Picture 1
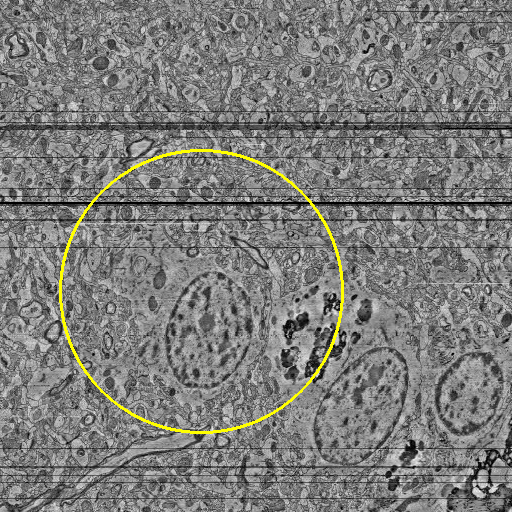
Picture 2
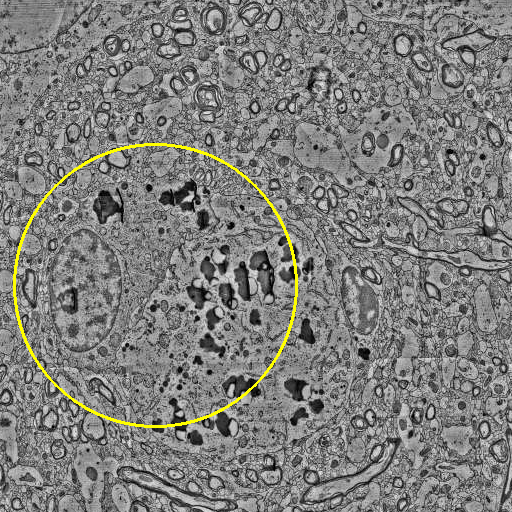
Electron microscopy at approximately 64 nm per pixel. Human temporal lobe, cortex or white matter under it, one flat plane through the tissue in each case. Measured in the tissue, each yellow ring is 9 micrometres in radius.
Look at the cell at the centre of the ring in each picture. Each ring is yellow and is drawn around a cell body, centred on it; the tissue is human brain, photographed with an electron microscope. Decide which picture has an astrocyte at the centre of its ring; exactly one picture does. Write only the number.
1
